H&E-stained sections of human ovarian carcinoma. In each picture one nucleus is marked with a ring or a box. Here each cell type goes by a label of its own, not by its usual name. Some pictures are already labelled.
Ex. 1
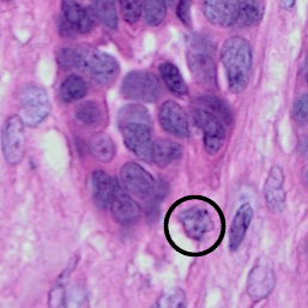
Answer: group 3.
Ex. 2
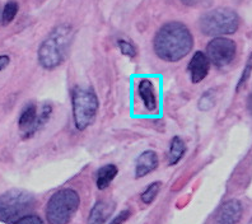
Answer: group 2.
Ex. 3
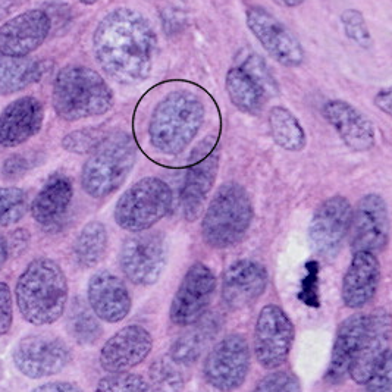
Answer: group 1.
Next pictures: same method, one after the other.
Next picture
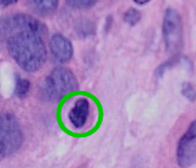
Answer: group 2.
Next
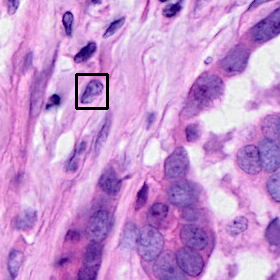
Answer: group 2.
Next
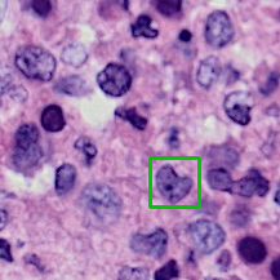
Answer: group 3.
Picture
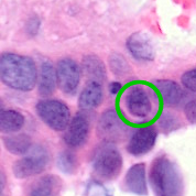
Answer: group 1.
